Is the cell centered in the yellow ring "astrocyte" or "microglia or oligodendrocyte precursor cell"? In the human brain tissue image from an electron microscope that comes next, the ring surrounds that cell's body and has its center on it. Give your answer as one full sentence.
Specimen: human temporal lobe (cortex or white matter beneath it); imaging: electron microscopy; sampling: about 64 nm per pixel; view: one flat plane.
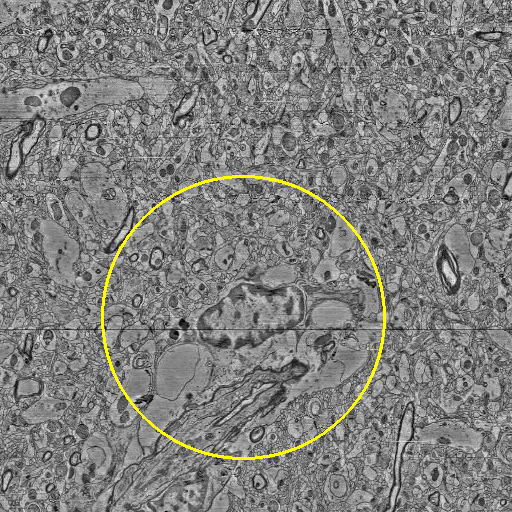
The cell at the center of the yellow ring is a microglial cell or oligodendrocyte precursor cell in the micrograph.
